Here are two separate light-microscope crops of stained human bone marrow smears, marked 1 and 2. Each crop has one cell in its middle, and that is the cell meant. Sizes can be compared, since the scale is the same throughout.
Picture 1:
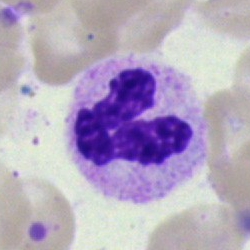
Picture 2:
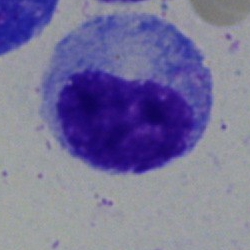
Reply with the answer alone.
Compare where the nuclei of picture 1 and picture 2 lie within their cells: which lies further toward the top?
1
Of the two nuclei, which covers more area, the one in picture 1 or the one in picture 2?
2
